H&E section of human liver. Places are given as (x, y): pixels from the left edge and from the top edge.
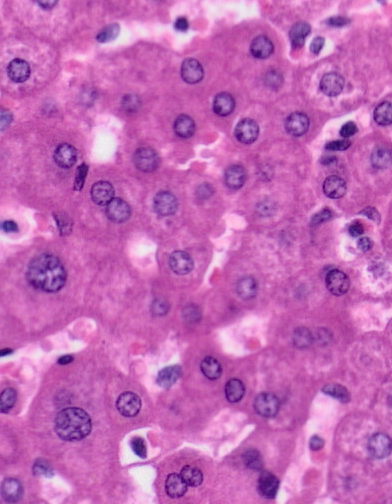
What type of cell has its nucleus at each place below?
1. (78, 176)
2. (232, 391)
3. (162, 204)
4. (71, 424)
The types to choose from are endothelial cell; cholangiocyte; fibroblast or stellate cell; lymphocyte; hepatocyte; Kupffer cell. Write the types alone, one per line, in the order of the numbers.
fibroblast or stellate cell
hepatocyte
hepatocyte
hepatocyte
